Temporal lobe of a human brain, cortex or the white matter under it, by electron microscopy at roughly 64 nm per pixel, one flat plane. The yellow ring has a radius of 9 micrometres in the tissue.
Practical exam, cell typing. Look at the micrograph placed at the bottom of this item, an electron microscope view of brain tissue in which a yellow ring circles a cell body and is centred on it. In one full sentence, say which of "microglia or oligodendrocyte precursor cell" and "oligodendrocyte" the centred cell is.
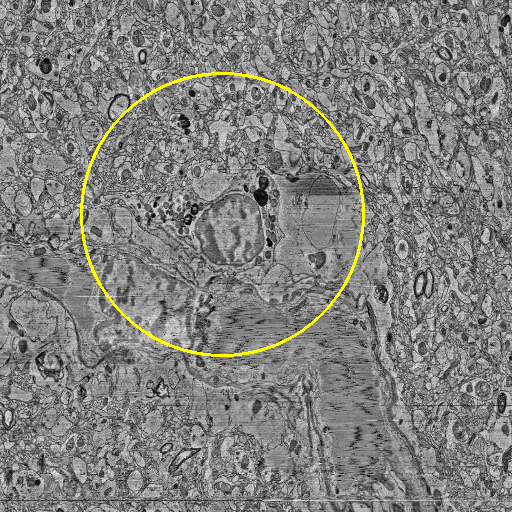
Given the options, a microglial cell or oligodendrocyte precursor cell fits the cell whose body the yellow ring is centred on.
